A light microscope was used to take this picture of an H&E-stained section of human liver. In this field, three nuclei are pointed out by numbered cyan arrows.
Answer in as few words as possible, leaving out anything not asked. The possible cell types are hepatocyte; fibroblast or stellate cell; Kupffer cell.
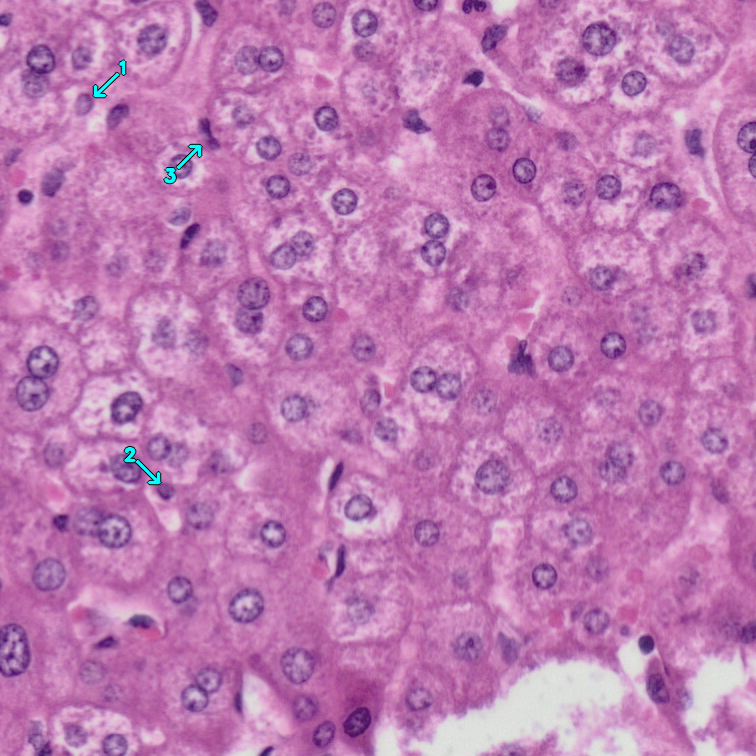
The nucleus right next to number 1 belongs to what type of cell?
fibroblast or stellate cell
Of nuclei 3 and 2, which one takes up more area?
3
